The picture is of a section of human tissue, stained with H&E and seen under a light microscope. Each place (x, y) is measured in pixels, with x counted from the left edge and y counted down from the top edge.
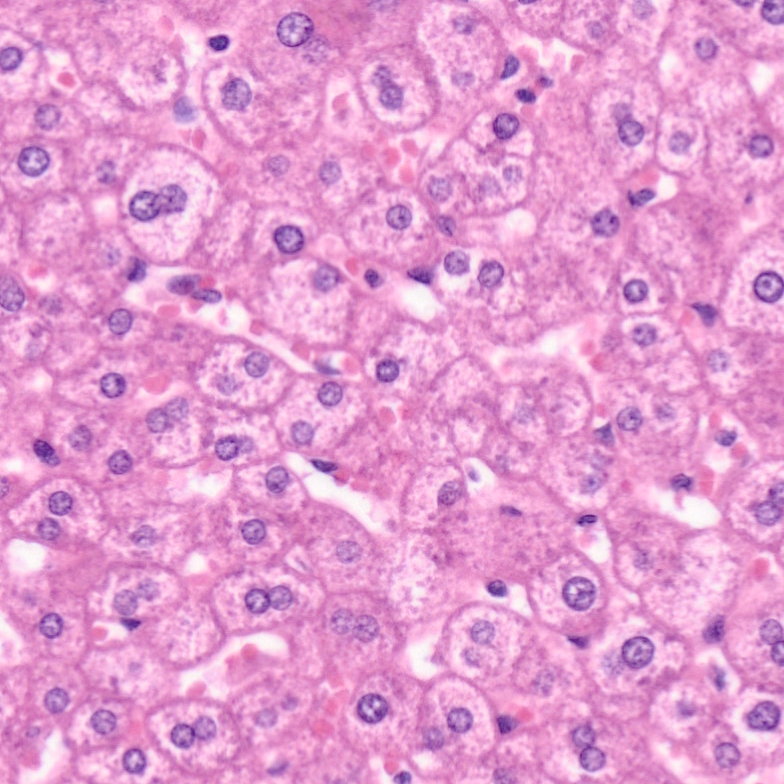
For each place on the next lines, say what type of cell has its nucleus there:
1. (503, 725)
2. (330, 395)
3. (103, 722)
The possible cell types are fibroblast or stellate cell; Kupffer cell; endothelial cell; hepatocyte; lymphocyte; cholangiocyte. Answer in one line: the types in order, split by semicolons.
fibroblast or stellate cell; hepatocyte; hepatocyte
